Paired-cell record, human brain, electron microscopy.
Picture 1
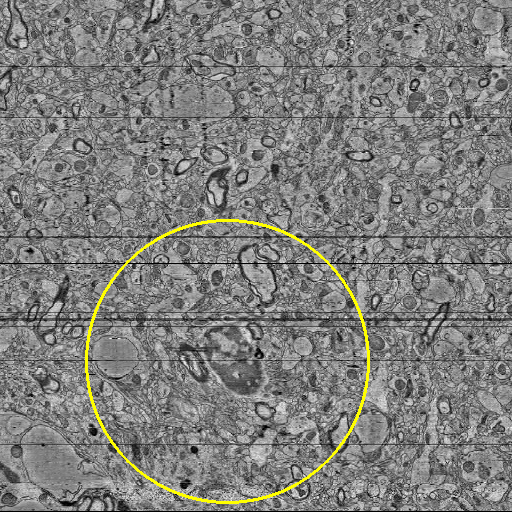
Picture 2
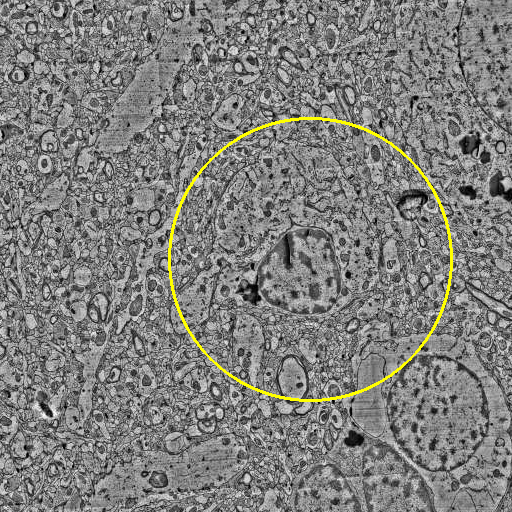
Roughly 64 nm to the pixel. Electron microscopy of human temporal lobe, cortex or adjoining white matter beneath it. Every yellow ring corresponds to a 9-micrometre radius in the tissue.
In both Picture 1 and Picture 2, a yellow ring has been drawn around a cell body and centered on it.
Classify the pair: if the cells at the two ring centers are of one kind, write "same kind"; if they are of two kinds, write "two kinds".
same kind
